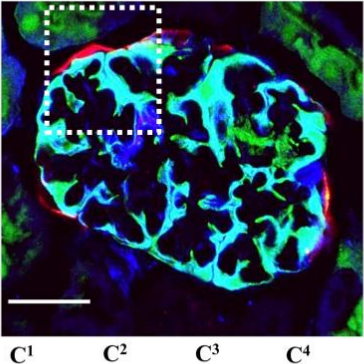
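This is a large glomerulus with many capillary loops, their outer surfaces covered by podocytes. Green and blue overlap over the loops to give a bright cyan web through the whole tuft, with dark open lumens between. Along the upper left and right outer edge runs a thin red strip that follows the curve of the glomerulus. The red lies on the capsule, outside the cyan tuft, and does not mix with the podocyte layer. The pattern fits a normal arrangement of podocytes on the tuft with labelled cells confined to Bowman's capsule.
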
